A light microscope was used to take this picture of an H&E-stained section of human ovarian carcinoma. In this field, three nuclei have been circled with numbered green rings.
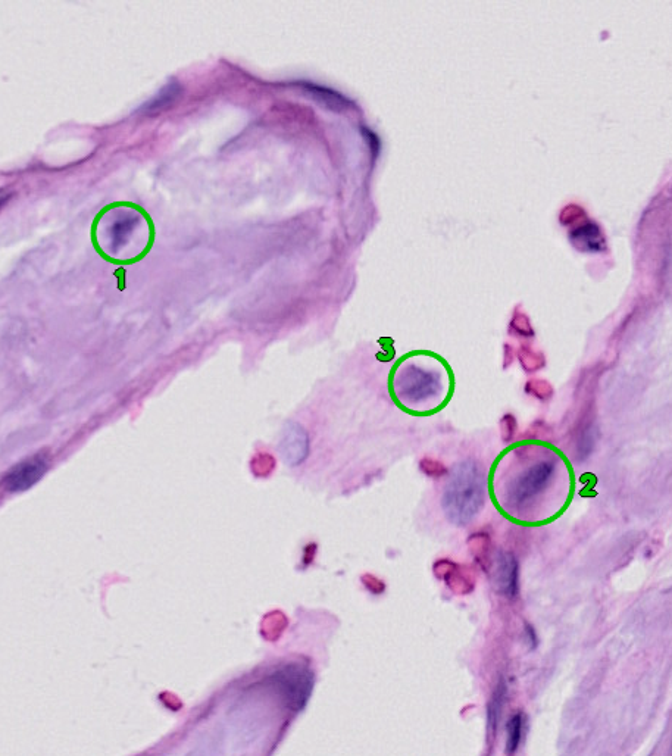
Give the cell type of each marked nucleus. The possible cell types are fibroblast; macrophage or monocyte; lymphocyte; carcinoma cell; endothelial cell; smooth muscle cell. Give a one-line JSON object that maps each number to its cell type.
{"1": "fibroblast", "2": "endothelial cell", "3": "endothelial cell"}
